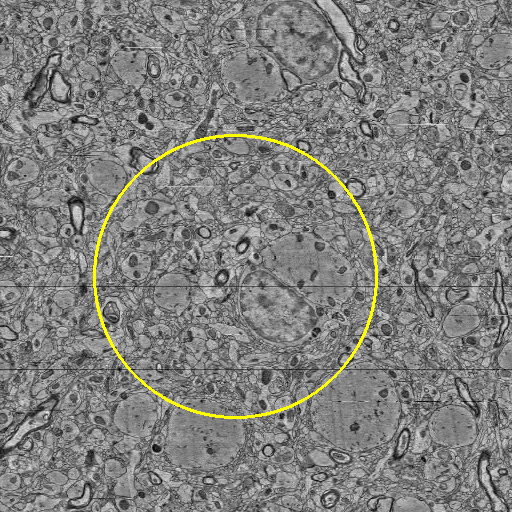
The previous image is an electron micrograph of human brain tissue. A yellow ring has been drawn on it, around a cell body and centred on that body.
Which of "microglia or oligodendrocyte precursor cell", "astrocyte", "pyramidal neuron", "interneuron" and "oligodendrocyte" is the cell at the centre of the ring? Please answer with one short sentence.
The cell body at the centre of the ring belongs to an oligodendrocyte.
